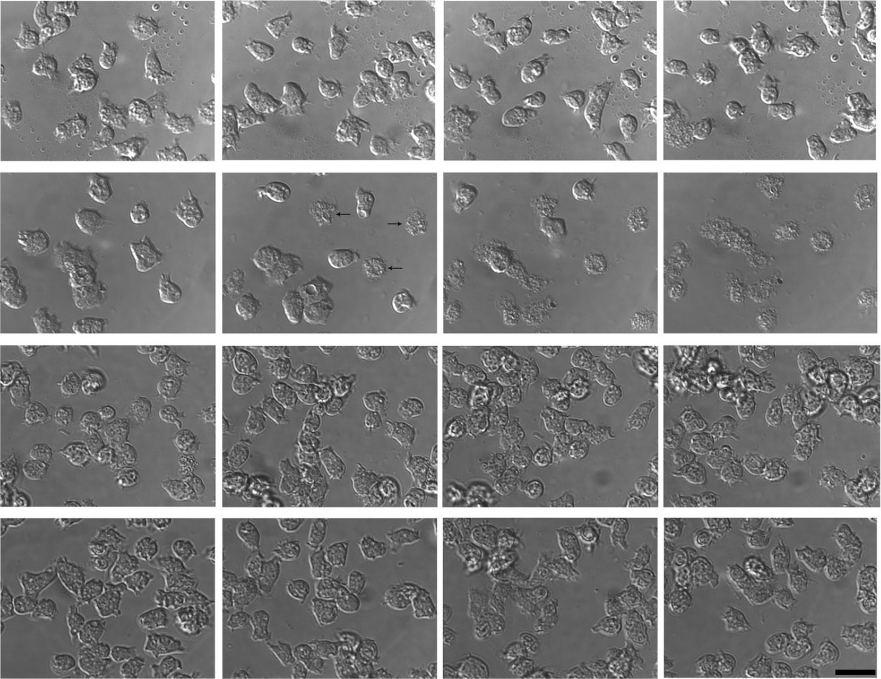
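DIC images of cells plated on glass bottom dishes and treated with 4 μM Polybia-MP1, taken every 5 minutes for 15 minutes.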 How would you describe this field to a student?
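Most cells have smooth, continuous outlines with irregular shapes and short blunt protrusions, and some are more rounded. By the last time point of that row, most of the cells there have this rough, disintegrating look, while the cells in the other rows keep smooth outlines and remain clustered or spread throughout the field.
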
